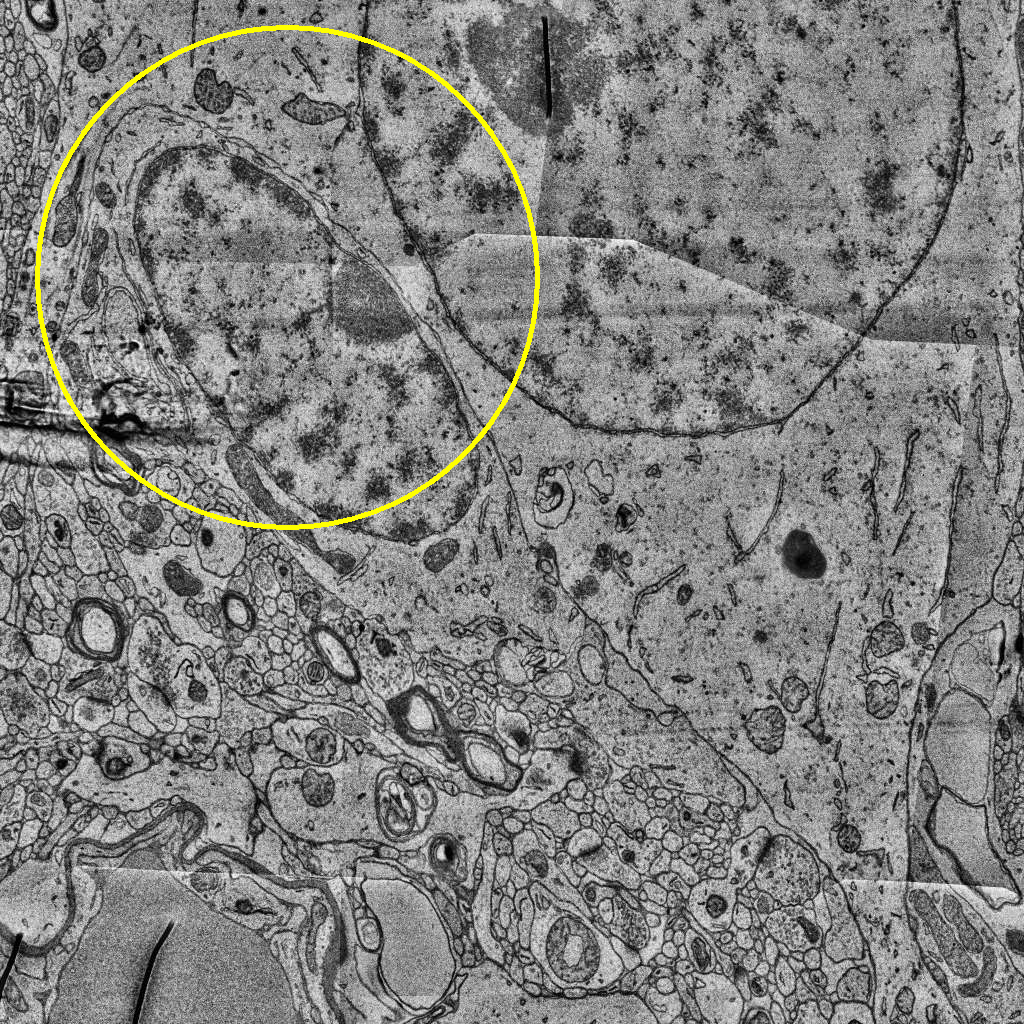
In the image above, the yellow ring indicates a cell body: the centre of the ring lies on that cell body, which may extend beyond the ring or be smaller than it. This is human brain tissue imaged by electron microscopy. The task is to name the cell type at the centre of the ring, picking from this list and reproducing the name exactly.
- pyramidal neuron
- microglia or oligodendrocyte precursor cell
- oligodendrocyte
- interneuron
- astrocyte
microglia or oligodendrocyte precursor cell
